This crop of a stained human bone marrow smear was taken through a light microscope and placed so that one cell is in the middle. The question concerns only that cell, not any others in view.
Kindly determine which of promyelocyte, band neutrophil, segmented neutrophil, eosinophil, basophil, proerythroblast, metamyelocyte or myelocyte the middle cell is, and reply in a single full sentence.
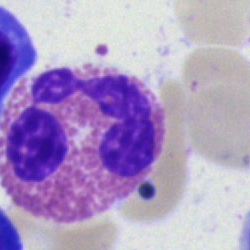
As for the cell in the middle, it is an eosinophil.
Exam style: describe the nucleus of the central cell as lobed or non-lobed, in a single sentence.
Segmentation of the nucleus into two or more lobes is the finding.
